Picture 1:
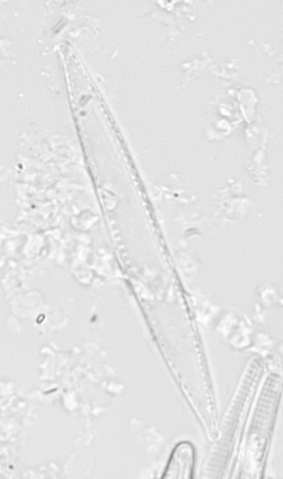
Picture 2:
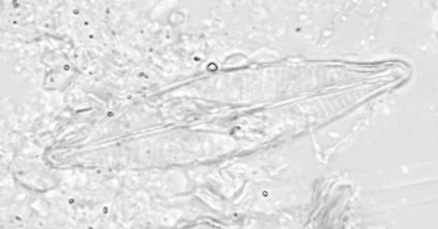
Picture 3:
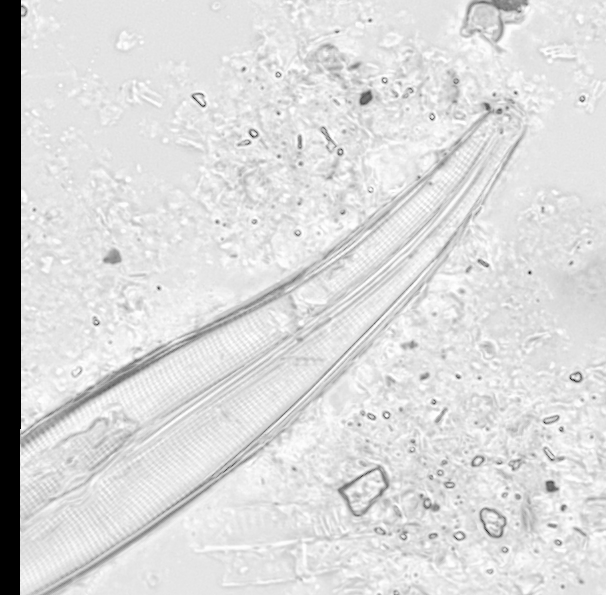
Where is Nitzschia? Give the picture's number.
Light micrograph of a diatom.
1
